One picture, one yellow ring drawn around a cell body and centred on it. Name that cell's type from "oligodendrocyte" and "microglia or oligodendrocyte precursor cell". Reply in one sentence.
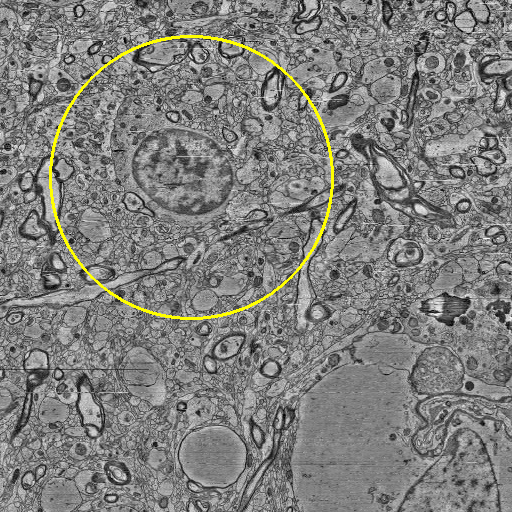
Centred in the ring is an oligodendrocyte.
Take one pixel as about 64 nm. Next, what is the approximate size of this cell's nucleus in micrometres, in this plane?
The nucleus appears roughly 6 by 5 micrometres in this plane.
